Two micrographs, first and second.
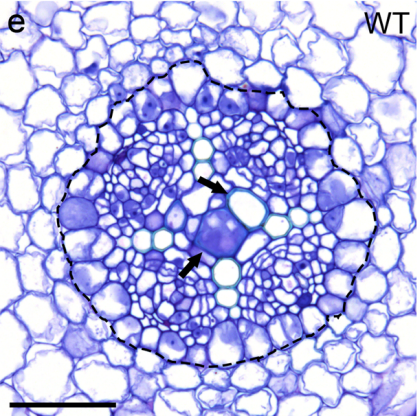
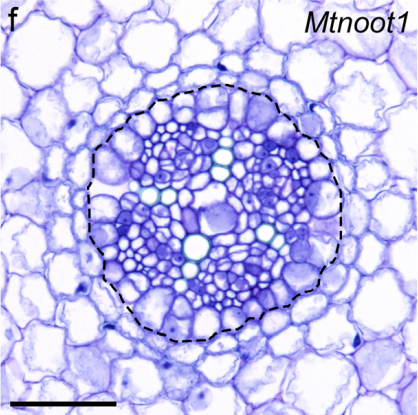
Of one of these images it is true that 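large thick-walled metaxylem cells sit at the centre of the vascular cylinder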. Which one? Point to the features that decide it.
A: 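The first image. First image: several large cells with thick blue-green walls occupy the centre of the vascular cylinder.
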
